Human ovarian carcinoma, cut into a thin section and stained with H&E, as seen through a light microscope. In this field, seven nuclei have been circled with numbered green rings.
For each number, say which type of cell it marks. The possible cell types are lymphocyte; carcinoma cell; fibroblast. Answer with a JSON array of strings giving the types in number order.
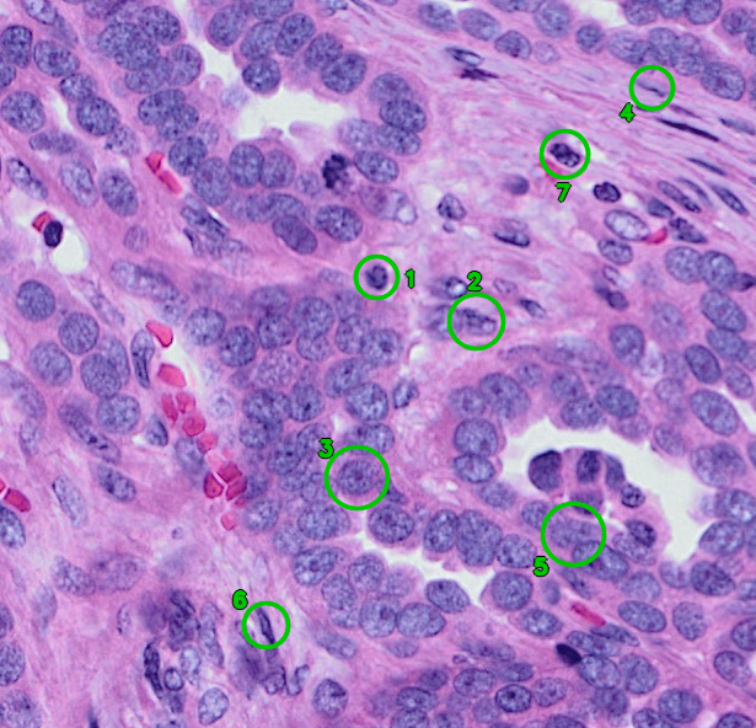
["lymphocyte", "fibroblast", "carcinoma cell", "fibroblast", "carcinoma cell", "fibroblast", "lymphocyte"]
